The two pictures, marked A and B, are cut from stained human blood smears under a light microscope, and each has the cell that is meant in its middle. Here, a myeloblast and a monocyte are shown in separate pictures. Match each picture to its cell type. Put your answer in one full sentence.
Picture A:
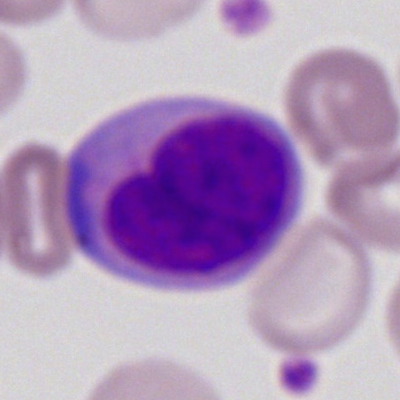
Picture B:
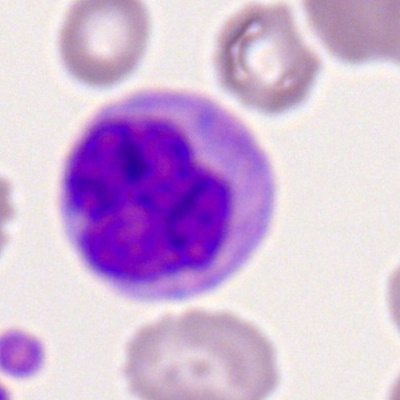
The cell in picture A is a myeloblast, and the one in picture B is a monocyte.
